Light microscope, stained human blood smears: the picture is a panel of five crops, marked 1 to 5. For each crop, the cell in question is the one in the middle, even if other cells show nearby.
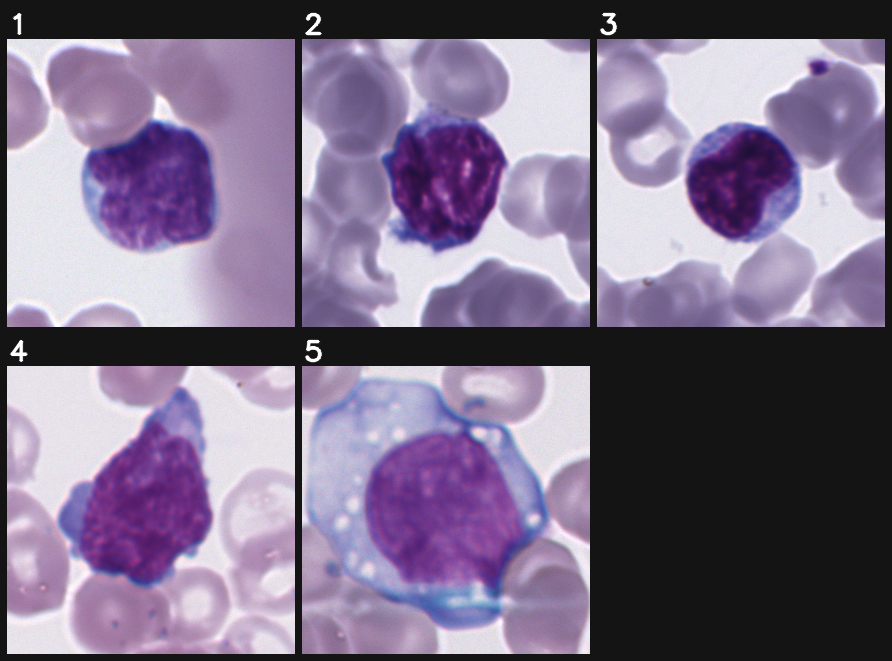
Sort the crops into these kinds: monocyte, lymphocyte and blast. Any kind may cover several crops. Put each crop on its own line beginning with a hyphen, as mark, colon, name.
- 1: monocyte
- 2: lymphocyte
- 3: lymphocyte
- 4: blast
- 5: blast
